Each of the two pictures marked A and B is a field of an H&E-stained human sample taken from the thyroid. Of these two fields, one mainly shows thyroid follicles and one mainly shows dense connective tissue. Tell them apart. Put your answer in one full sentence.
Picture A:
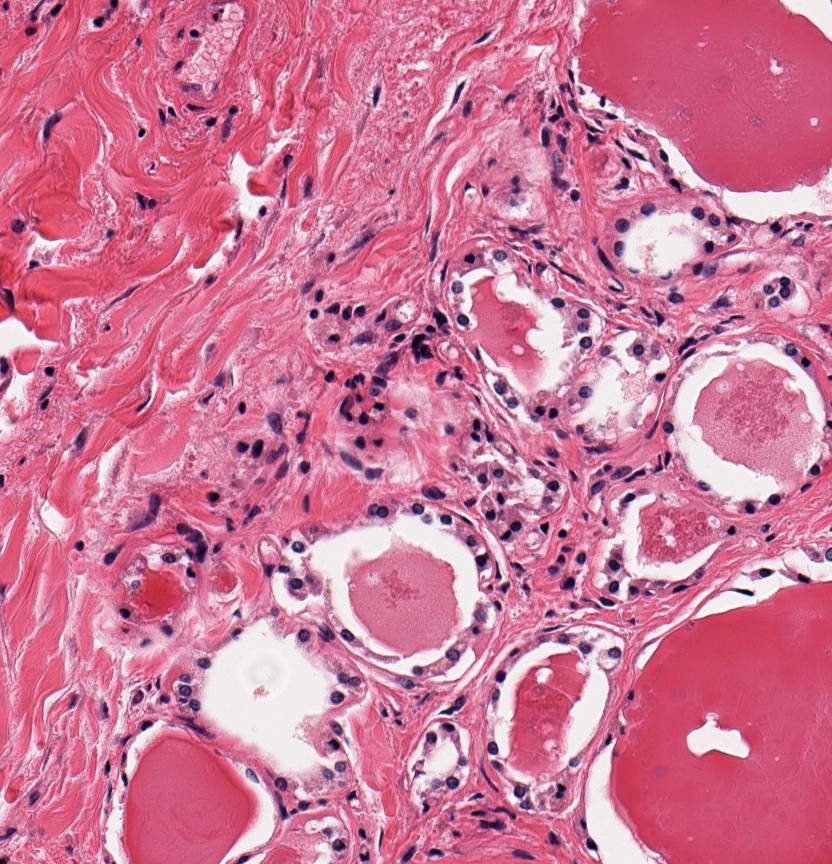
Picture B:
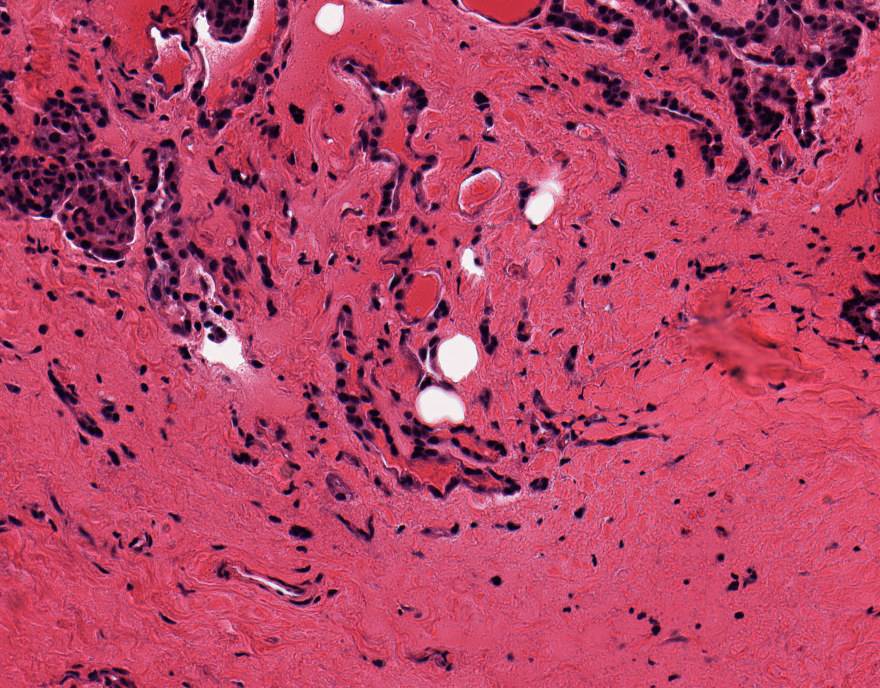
Picture A mainly shows thyroid follicles and picture B mainly shows dense connective tissue.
